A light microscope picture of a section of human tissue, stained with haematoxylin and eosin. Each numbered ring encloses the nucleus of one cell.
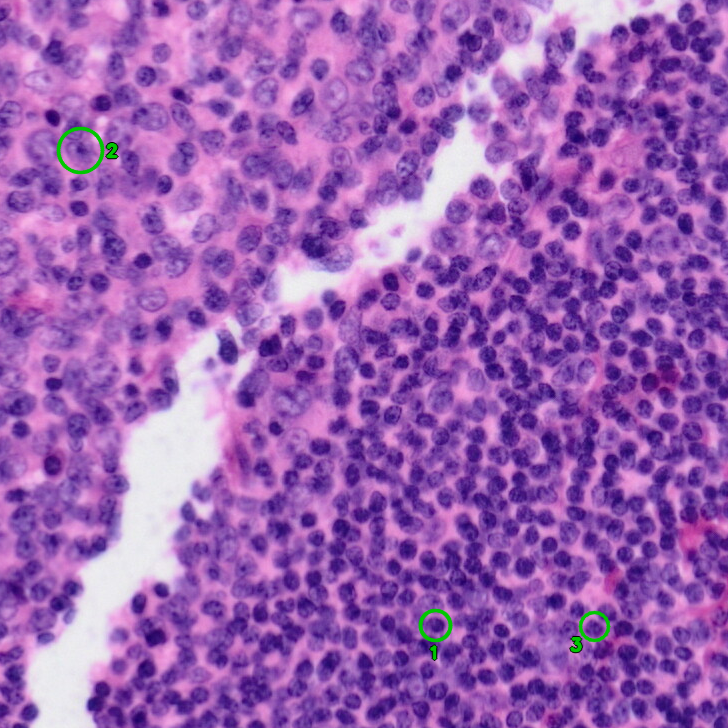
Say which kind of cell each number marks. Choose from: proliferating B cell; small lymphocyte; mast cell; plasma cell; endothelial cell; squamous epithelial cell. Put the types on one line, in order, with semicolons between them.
small lymphocyte; proliferating B cell; small lymphocyte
